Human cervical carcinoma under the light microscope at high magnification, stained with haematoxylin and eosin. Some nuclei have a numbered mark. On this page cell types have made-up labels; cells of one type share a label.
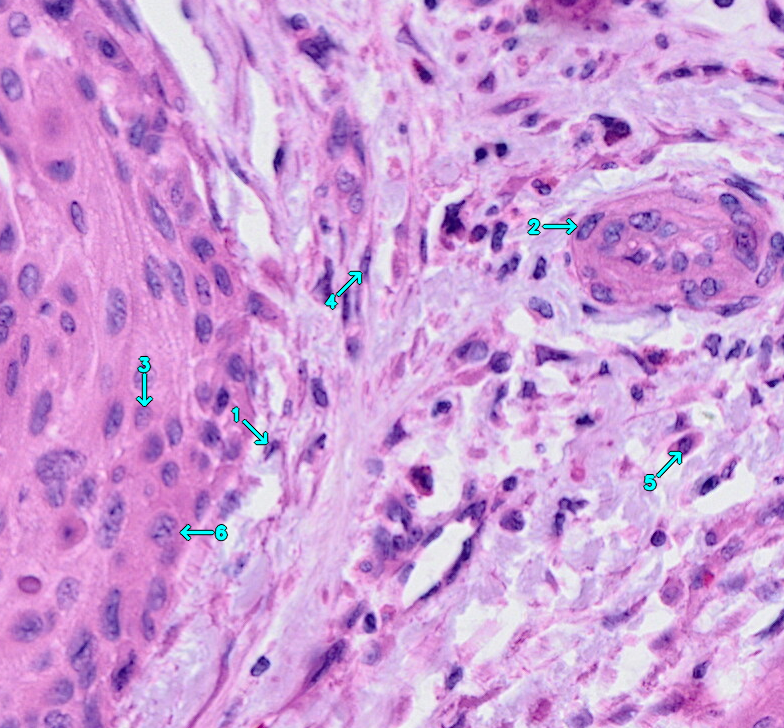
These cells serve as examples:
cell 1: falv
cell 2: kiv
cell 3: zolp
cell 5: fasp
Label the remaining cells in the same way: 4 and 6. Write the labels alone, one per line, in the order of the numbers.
falv
zolp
